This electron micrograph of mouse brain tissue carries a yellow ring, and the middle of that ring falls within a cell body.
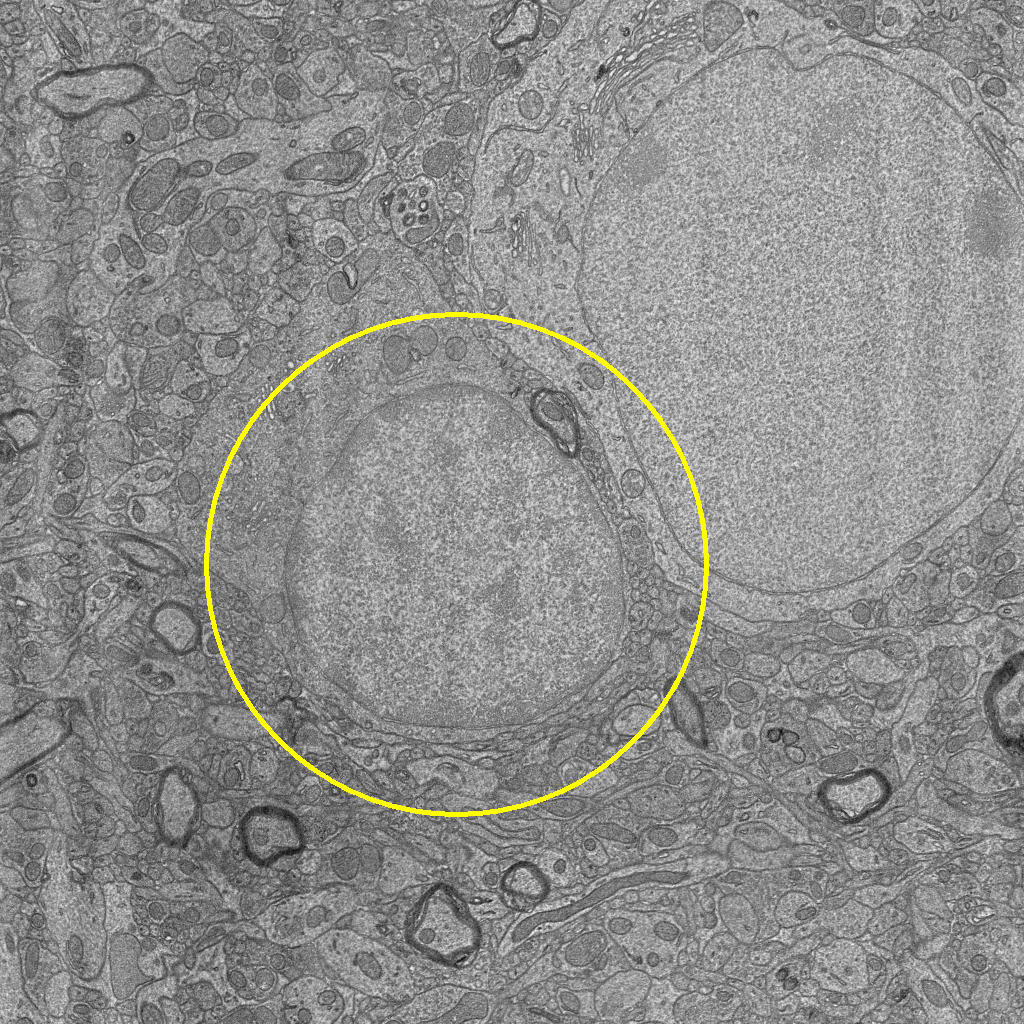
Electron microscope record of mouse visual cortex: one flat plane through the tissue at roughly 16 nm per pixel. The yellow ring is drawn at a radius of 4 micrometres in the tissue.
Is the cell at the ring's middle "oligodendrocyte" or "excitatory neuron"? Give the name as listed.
oligodendrocyte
